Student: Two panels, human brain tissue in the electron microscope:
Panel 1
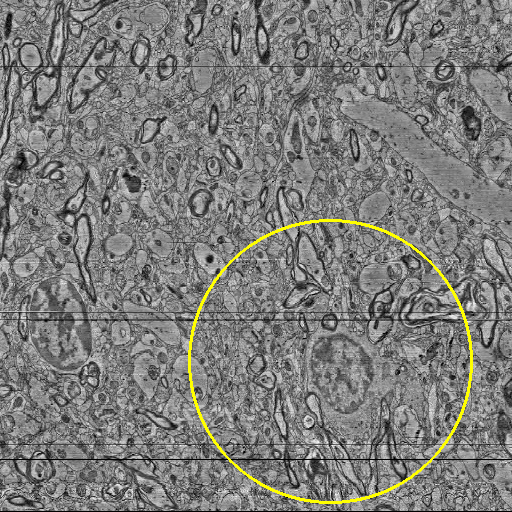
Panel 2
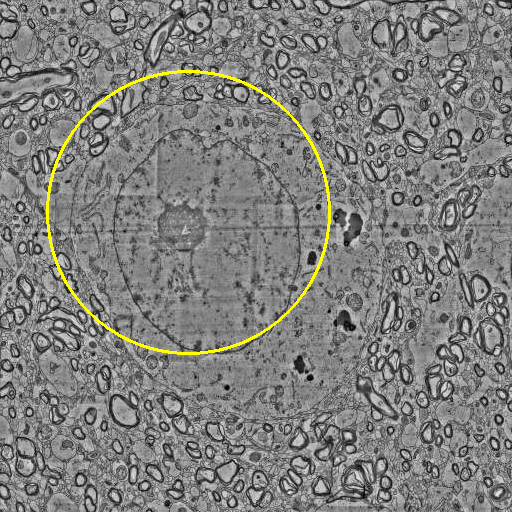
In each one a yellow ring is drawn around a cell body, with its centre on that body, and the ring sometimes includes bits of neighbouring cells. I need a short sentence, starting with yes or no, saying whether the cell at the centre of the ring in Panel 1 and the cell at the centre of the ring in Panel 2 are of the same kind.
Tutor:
No, they are two kinds of cell.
